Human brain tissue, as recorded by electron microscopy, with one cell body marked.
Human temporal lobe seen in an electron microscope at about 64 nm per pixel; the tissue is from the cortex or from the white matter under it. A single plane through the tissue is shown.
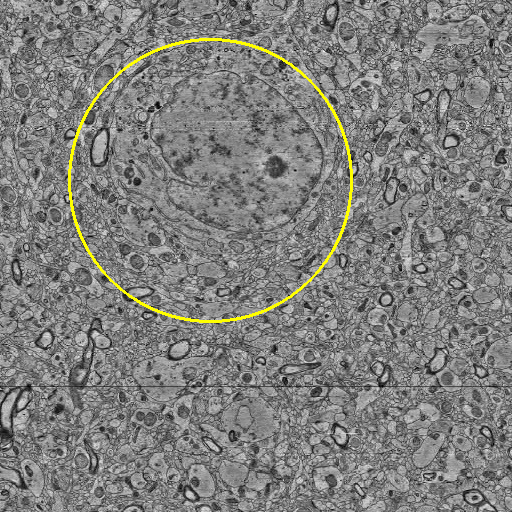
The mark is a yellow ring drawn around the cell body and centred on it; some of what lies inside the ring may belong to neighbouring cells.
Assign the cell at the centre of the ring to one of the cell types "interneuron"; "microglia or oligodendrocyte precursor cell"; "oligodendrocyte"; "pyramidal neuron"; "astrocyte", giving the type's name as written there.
interneuron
